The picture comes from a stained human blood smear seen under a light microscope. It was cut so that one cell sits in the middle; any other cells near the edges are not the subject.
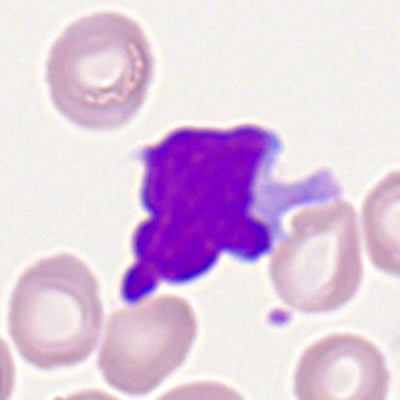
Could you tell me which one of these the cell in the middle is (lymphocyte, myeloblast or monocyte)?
lymphocyte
